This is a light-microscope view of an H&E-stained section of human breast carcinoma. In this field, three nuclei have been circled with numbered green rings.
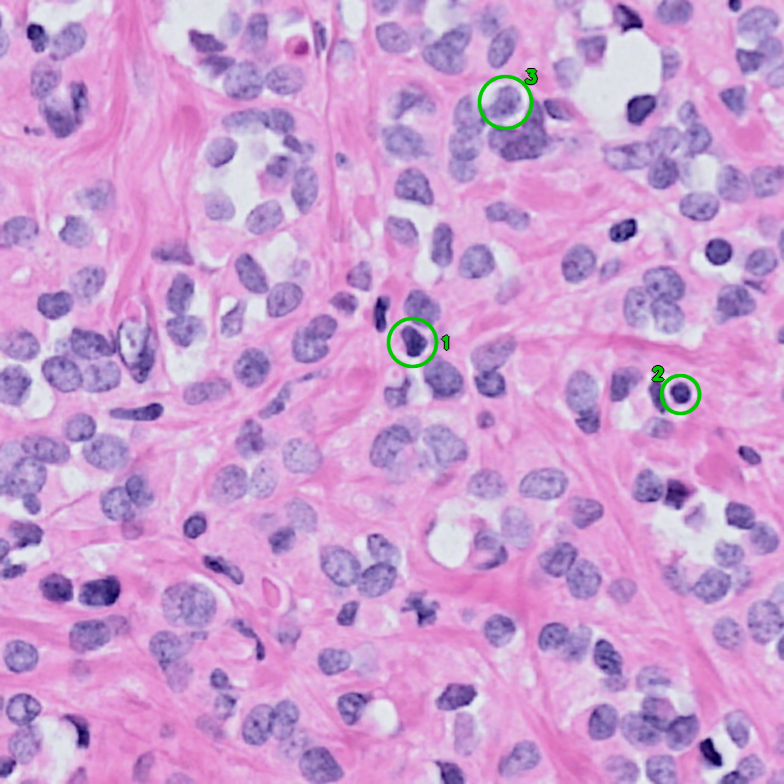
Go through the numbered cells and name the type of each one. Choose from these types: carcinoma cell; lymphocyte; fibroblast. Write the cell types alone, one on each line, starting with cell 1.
lymphocyte
lymphocyte
carcinoma cell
